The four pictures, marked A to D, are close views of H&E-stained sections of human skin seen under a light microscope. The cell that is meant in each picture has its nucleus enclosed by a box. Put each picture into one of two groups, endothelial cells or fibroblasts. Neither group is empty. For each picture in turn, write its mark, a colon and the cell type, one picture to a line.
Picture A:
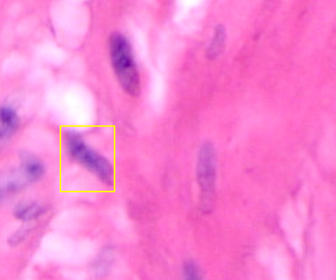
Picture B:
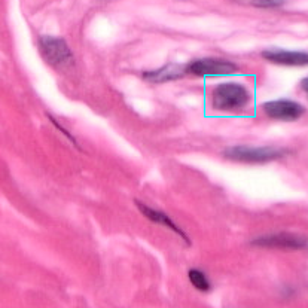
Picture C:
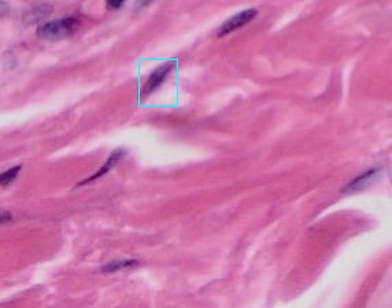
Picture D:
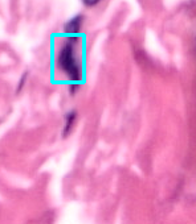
A: fibroblast
B: endothelial cell
C: fibroblast
D: endothelial cell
